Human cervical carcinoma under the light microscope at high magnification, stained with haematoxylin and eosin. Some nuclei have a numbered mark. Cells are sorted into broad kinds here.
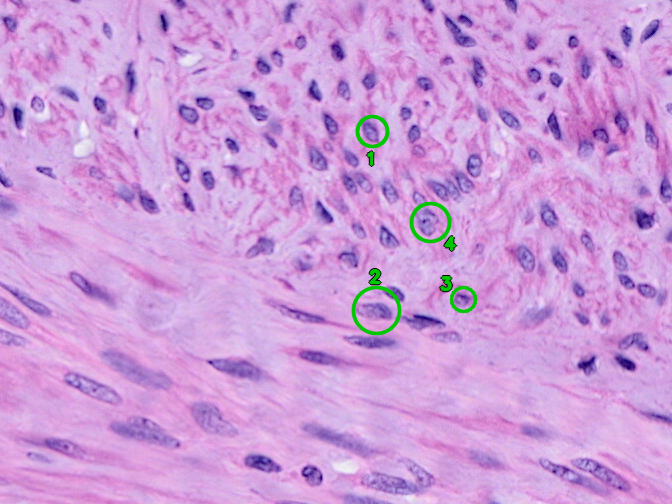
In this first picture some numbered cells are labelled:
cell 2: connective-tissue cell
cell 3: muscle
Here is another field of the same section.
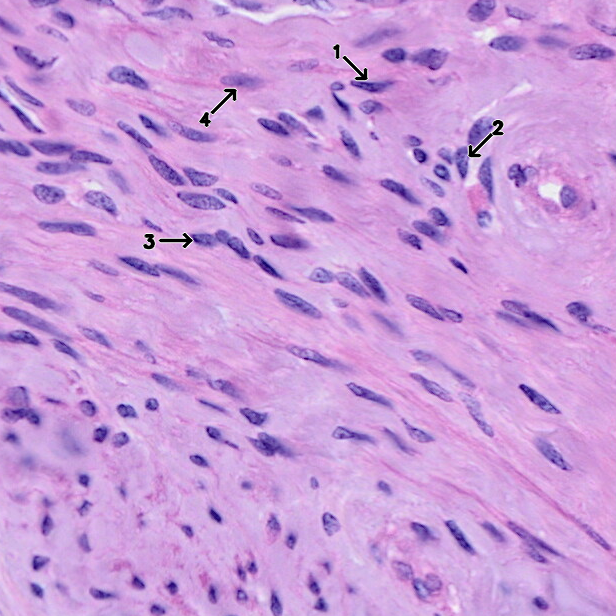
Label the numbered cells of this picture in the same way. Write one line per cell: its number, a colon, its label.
1: connective-tissue cell
2: connective-tissue cell
3: connective-tissue cell
4: muscle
